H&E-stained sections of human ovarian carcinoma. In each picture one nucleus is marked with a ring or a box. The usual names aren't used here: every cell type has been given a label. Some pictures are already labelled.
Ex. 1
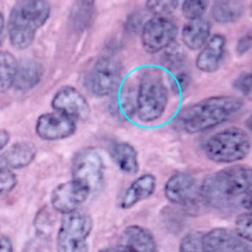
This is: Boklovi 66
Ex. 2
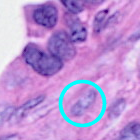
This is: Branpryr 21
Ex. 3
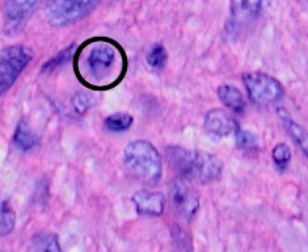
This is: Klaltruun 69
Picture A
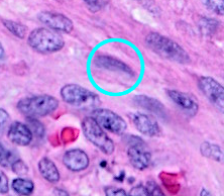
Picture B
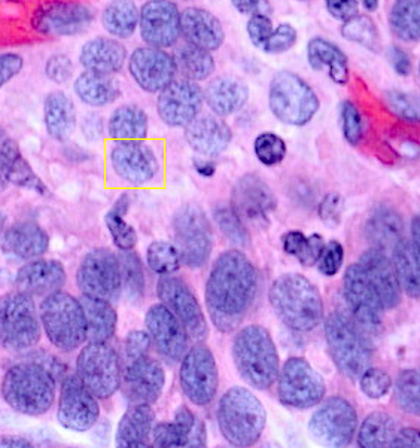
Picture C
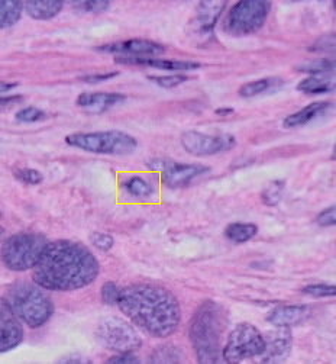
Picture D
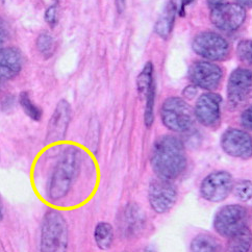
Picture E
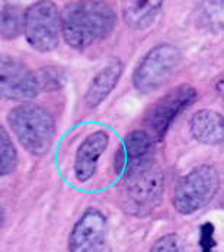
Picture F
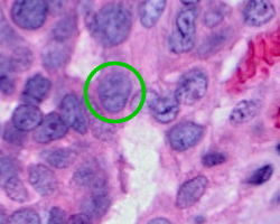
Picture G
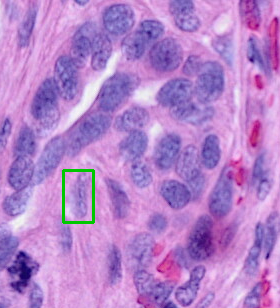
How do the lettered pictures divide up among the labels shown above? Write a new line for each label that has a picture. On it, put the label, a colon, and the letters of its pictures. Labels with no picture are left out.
Boklovi 66: B, F
Branpryr 21: A, C, D, G
Klaltruun 69: E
